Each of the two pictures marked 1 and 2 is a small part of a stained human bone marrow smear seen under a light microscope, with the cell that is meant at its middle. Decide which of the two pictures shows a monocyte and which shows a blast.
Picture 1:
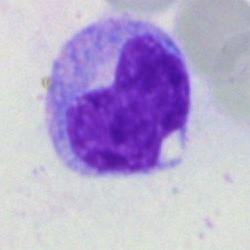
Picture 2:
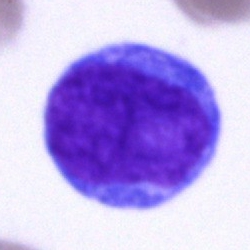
1: monocyte
2: blast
